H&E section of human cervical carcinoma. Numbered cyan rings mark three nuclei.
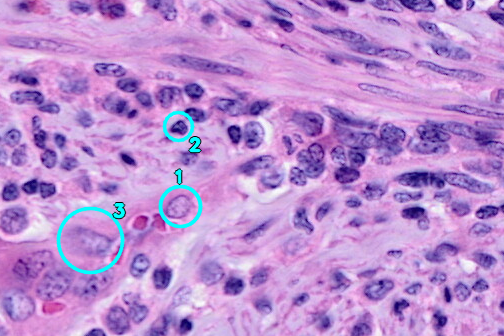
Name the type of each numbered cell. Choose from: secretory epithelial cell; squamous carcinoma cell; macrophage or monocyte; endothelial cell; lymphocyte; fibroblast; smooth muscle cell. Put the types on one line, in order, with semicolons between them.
endothelial cell; lymphocyte; endothelial cell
